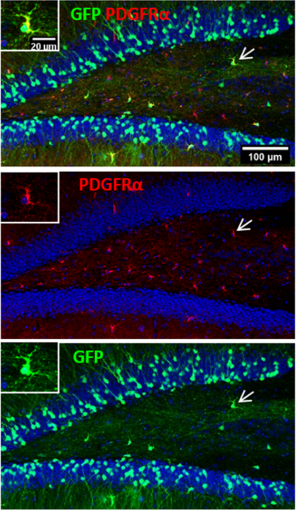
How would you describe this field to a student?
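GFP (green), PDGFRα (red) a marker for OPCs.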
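This section of the dentate gyrus shows two curved bands of tightly packed blue nuclei, viewed as three stacked fluorescence images of one field. Green cell bodies crowd along the bands, while small red cells with fine, branched processes lie scattered through the surrounding tissue. The arrowed cell, lying in the region between the bands, is both green and red. In the enlarged inset it appears star-shaped, with several thin processes radiating from a small cell body.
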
